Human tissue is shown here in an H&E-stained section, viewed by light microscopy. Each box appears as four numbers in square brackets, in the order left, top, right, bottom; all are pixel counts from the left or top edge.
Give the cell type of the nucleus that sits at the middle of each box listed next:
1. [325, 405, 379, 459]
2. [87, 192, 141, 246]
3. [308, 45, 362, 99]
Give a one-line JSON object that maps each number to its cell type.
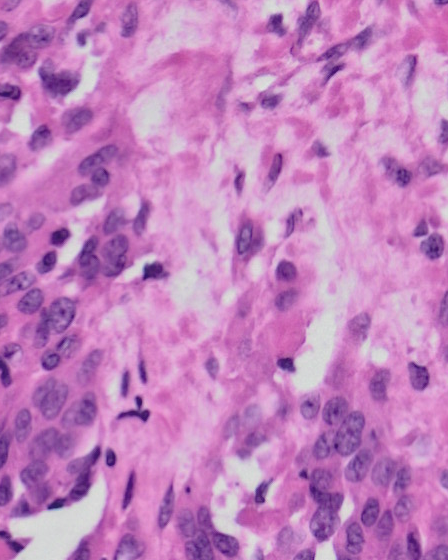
{"1": "carcinoma cell", "2": "carcinoma cell", "3": "fibroblast"}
